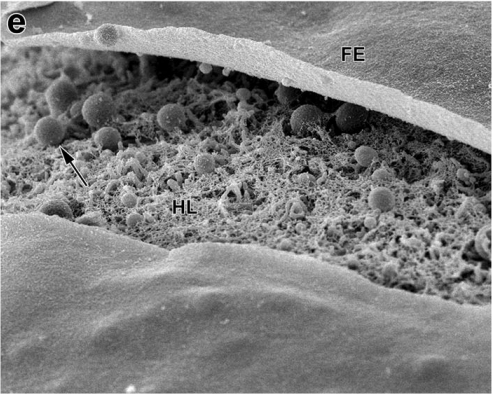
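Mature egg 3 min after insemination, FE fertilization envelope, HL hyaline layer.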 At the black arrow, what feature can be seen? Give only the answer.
spherical bodies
